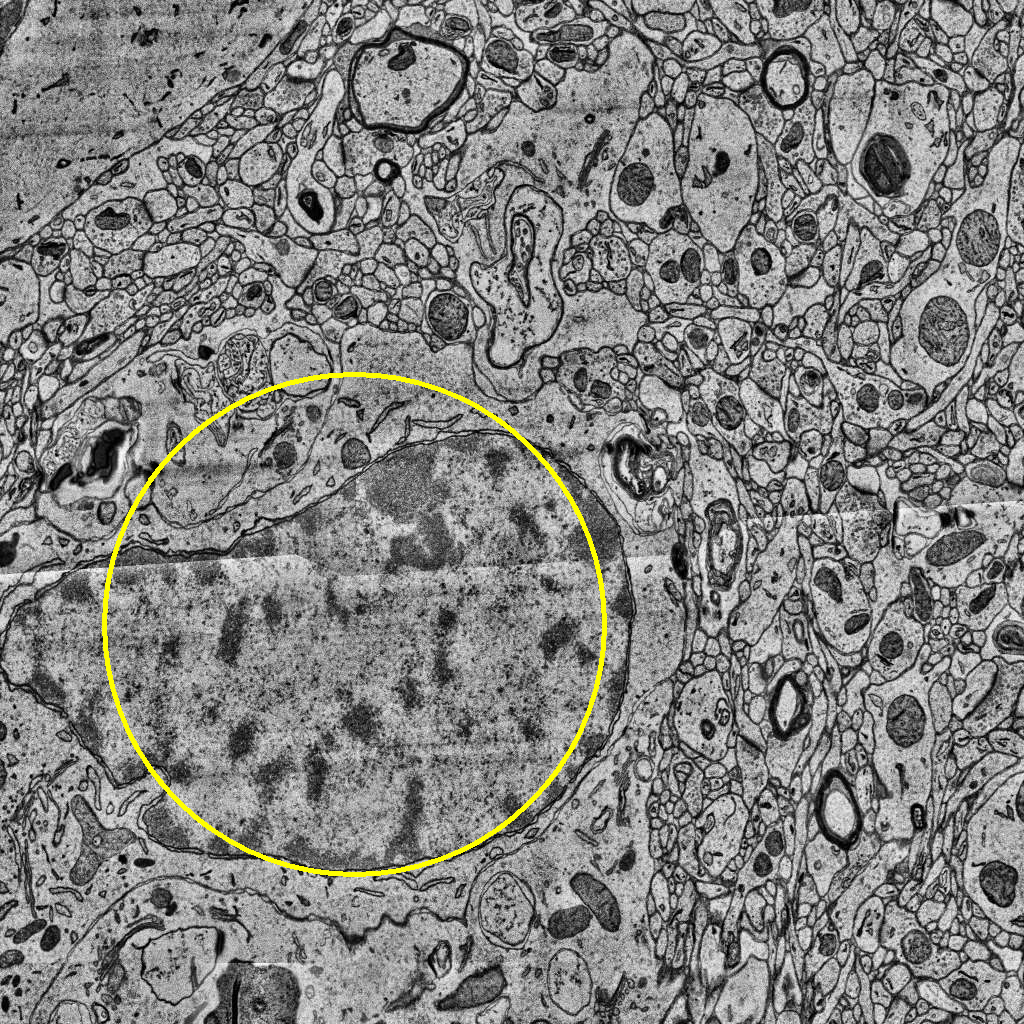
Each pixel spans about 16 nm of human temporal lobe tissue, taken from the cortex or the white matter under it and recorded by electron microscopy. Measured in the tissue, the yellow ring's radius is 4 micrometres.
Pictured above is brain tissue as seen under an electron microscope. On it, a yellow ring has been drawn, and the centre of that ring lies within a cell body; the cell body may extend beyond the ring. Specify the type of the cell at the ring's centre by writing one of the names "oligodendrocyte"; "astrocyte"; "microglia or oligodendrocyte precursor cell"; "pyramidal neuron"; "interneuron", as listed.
microglia or oligodendrocyte precursor cell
